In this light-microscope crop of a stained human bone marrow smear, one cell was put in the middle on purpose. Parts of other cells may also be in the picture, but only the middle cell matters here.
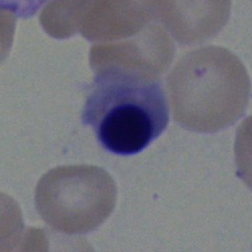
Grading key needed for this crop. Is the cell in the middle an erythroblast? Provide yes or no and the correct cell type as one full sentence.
Yes, the cell occupying the center is an erythroblast.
